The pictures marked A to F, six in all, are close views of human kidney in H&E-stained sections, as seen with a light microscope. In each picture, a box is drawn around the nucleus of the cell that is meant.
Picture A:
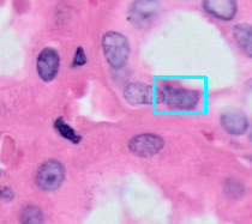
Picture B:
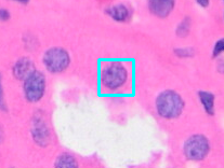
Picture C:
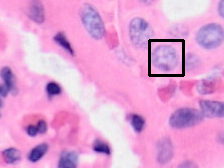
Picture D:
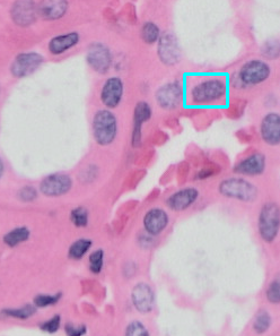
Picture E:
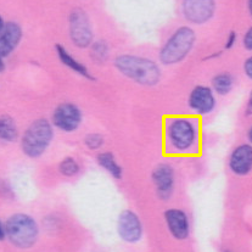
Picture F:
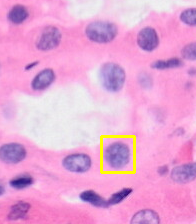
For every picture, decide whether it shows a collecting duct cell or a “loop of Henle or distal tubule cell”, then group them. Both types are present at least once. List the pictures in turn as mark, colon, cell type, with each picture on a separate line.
A: collecting duct cell
B: loop of Henle or distal tubule cell
C: collecting duct cell
D: collecting duct cell
E: collecting duct cell
F: loop of Henle or distal tubule cell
